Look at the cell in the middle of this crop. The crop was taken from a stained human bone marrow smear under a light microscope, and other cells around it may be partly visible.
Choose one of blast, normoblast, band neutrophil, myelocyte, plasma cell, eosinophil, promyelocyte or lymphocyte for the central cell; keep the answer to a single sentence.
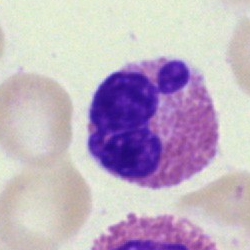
The middle cell in this particular crop is an eosinophil.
